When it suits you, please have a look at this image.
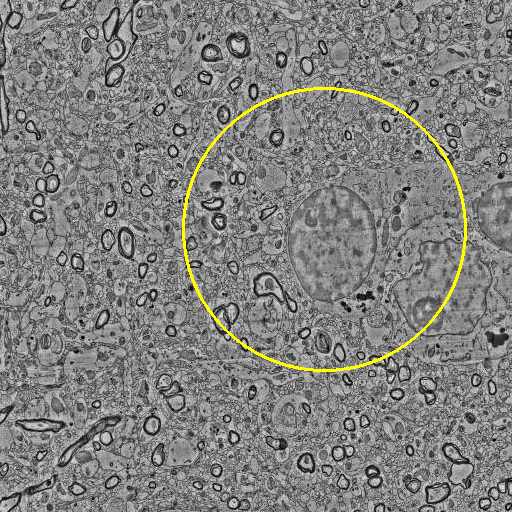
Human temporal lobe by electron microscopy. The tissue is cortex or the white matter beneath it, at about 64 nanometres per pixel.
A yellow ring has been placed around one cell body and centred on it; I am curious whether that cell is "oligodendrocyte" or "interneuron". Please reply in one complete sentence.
The ringed cell, an oligodendrocyte, has its body at the centre of the yellow ring.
